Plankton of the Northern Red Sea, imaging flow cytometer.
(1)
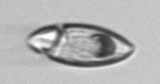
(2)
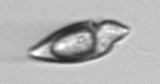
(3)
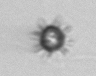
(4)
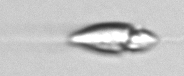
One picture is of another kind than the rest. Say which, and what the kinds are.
Picture 3 shows Rhabdosphaera; the rest show Kapelodinium.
